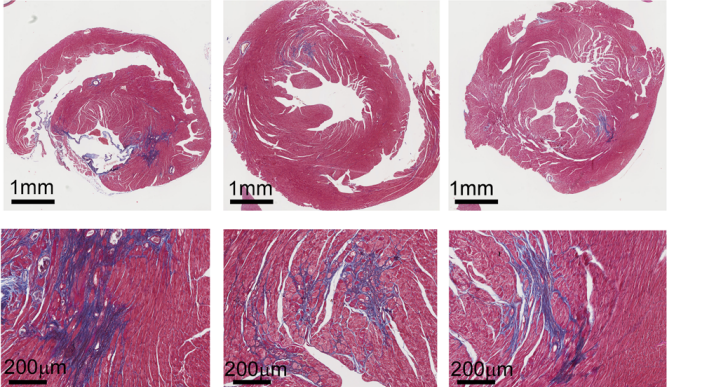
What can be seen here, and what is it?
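These are cross-sections of heart, with the thick muscular wall stained red around a central cavity whose inner surface is ragged and trabeculated. Within the red myocardium there are patches of blue, wavy fibrous material. In the enlarged views below, the blue fibres form irregular streaks and networks that run between and separate bundles of red muscle fibres, and in places replace them, with small vessels and clefts among them. One section shows a larger blue scarred area near the inner wall of the cavity. These blue patches mark scattered fibrotic areas within otherwise red-staining heart muscle.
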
